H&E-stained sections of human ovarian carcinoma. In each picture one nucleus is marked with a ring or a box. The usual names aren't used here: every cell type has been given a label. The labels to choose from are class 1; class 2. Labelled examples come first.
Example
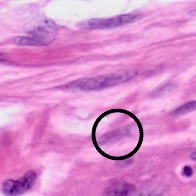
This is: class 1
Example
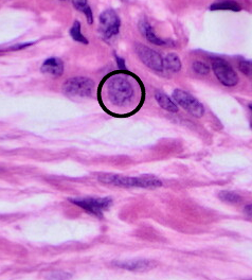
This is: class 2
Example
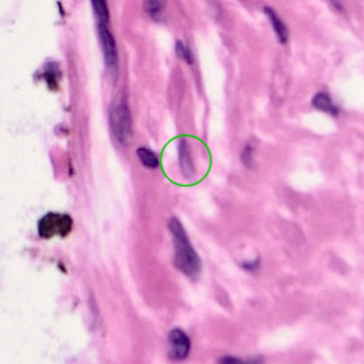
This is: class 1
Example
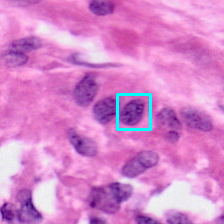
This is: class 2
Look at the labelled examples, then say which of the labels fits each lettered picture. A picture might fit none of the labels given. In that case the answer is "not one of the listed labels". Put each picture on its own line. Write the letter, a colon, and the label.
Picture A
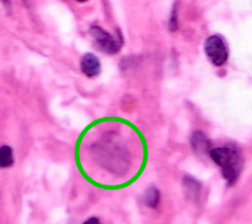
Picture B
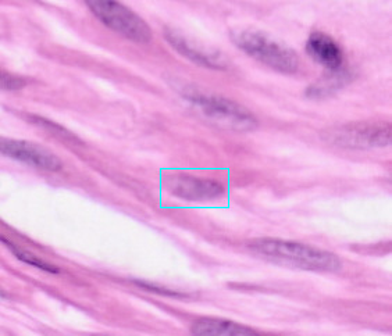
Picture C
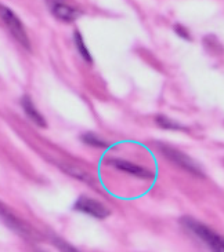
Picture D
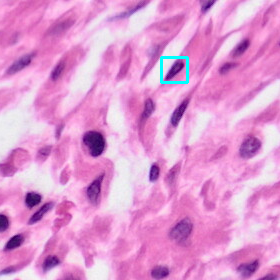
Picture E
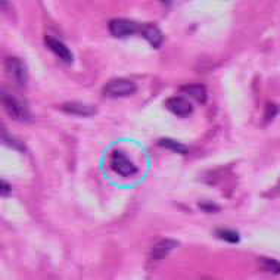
A: class 1
B: class 1
C: class 1
D: class 1
E: class 1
